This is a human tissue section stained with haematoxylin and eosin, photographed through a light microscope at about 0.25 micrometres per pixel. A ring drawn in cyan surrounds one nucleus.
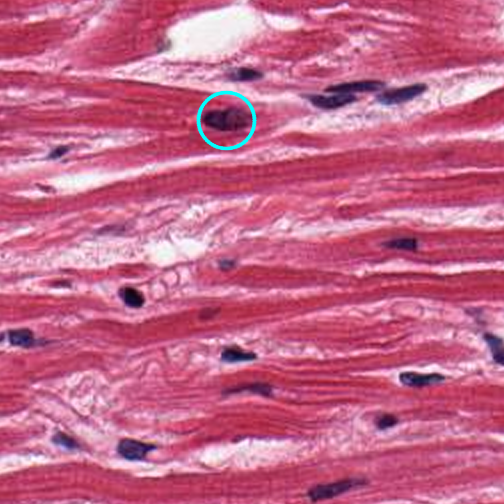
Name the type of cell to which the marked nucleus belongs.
cardiomyocyte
